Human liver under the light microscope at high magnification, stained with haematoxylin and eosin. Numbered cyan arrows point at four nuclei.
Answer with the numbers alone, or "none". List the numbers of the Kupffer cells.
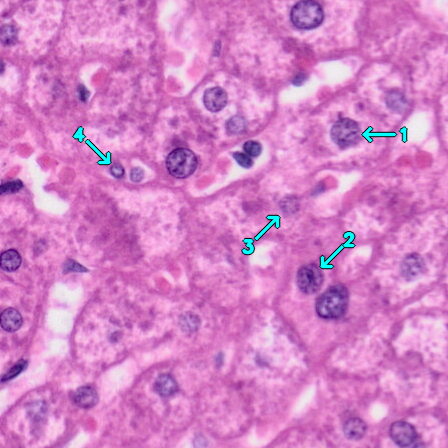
4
